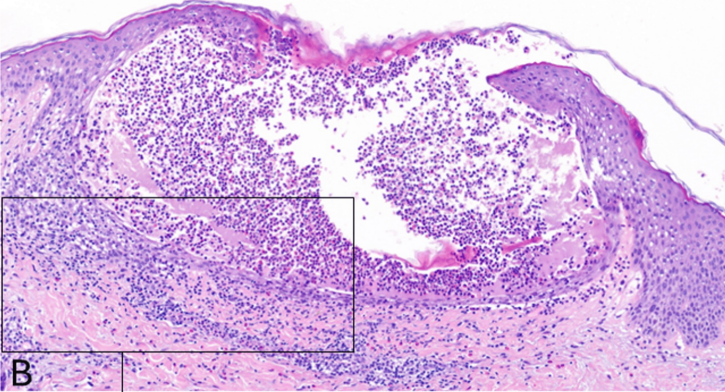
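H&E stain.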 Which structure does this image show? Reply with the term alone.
Subcorneal intraepidermal pustule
